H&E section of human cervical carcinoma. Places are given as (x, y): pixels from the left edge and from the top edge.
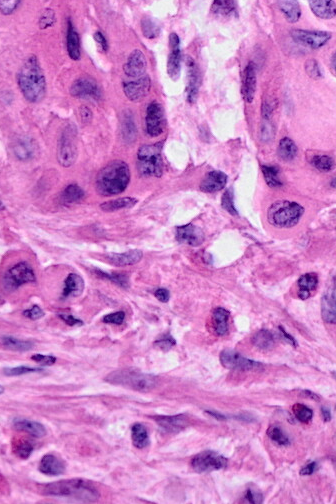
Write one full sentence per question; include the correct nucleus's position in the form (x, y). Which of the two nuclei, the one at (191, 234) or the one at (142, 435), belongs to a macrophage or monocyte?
It is the nucleus at (191, 234), not the other one, that belongs to a macrophage or monocyte.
